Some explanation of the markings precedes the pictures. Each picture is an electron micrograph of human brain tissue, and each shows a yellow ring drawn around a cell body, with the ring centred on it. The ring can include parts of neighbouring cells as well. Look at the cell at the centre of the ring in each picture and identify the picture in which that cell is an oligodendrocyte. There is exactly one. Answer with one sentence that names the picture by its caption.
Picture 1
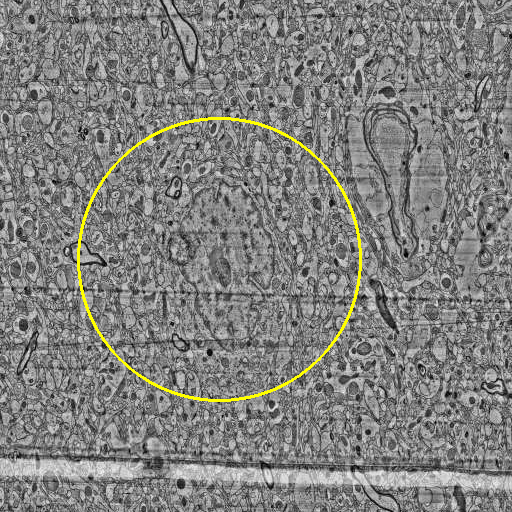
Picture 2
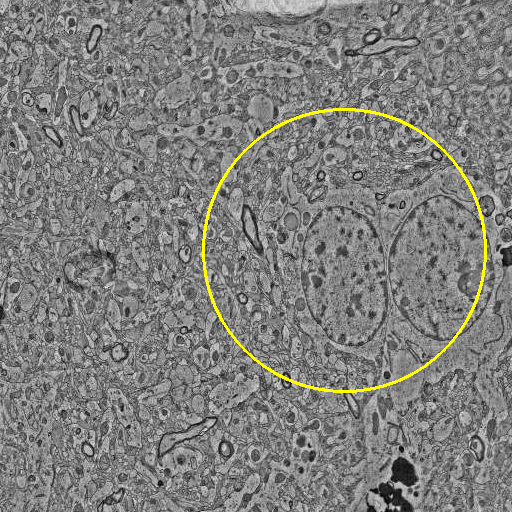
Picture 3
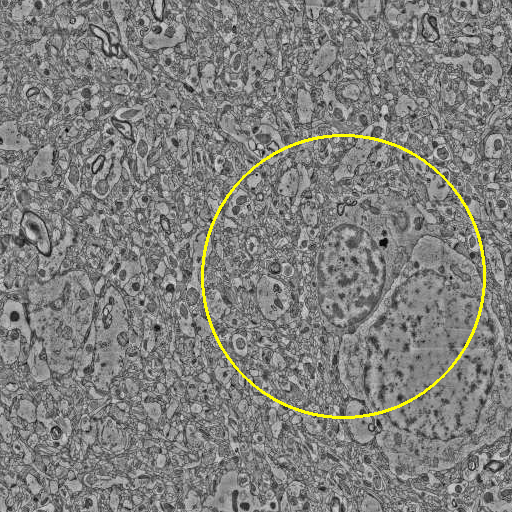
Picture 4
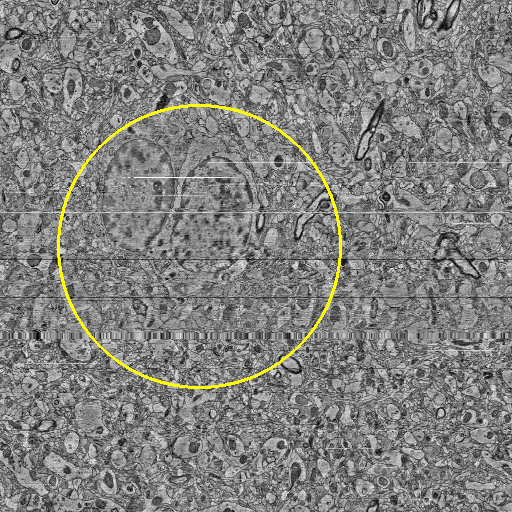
In Picture 3, the cell at the centre of the ring is of that kind.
